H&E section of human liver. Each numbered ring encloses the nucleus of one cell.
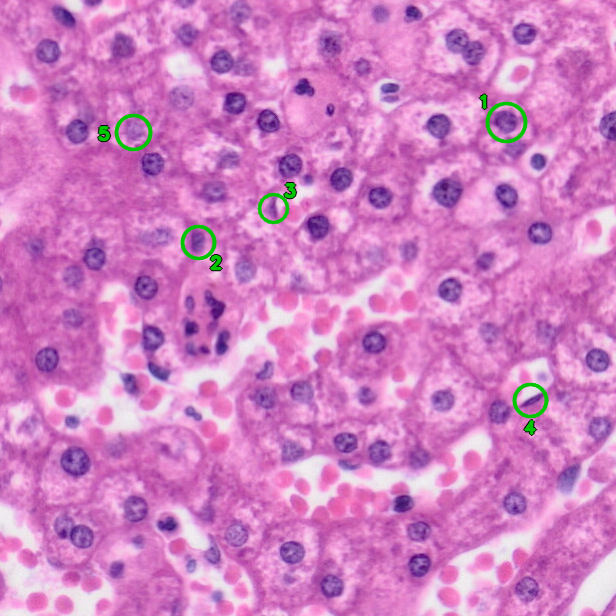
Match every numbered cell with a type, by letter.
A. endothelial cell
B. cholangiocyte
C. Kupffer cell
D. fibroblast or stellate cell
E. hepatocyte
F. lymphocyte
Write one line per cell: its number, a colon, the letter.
1: E
2: D
3: A
4: A
5: E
